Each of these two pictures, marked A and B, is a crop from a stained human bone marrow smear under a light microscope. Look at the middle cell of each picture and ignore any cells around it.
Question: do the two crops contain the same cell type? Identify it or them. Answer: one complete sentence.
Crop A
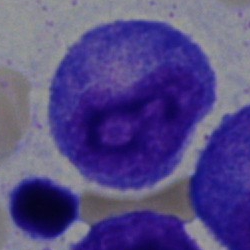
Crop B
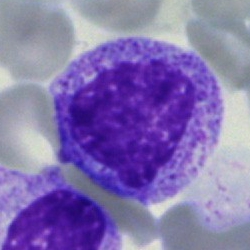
No, shown in crop A is a promyelocyte, and shown in crop B is a myelocyte.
